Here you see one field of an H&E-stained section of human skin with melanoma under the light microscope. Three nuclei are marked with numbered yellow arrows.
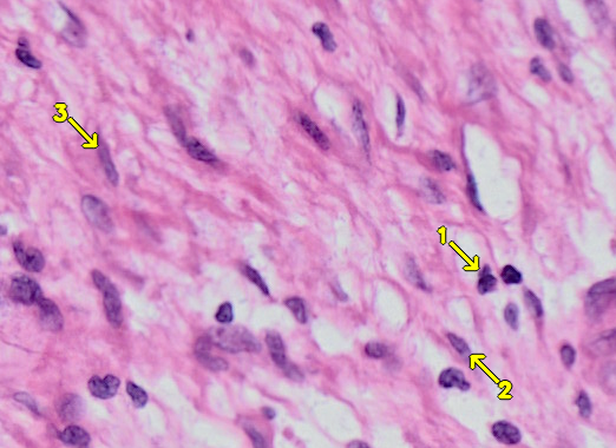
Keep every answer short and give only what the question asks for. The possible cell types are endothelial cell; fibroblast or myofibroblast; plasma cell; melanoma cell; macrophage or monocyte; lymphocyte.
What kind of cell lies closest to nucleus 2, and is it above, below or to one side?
a lymphocyte, below nucleus 2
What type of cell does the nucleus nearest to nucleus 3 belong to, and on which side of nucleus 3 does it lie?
a fibroblast or myofibroblast below nucleus 3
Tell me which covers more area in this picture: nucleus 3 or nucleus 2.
3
